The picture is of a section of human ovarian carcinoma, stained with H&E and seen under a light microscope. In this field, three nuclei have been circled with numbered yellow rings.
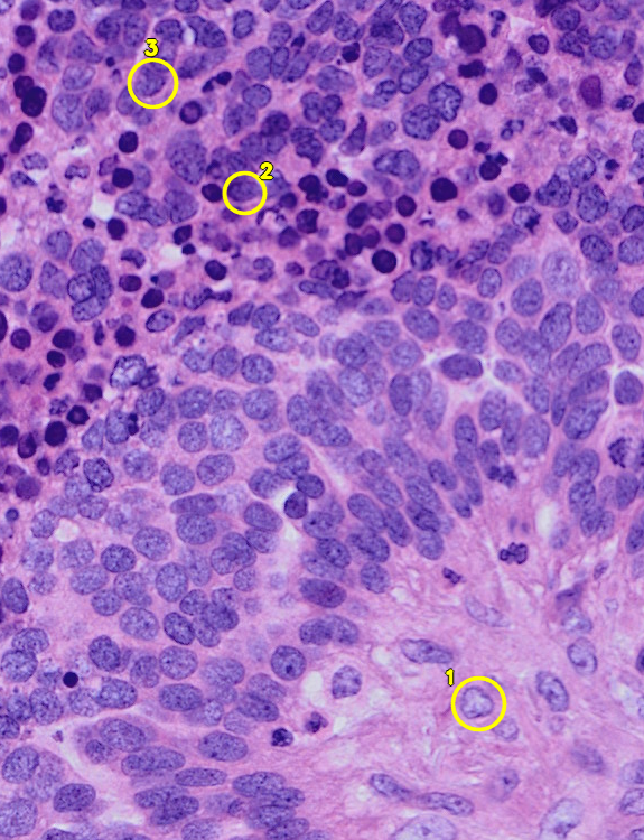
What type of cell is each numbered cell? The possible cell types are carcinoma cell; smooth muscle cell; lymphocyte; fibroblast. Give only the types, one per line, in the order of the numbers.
fibroblast
carcinoma cell
carcinoma cell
